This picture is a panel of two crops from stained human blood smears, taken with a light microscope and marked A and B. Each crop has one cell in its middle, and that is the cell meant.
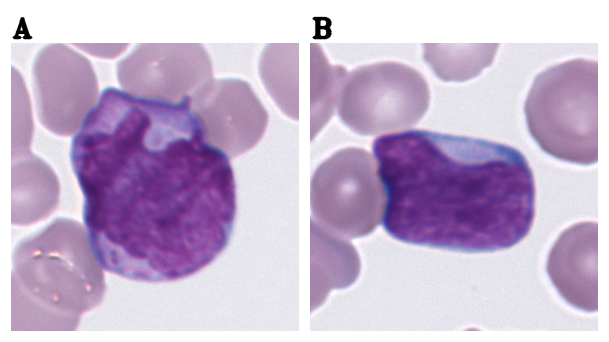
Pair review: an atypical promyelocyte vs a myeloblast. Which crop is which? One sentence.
Crop B is a myeloblast, while crop A is an atypical promyelocyte.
